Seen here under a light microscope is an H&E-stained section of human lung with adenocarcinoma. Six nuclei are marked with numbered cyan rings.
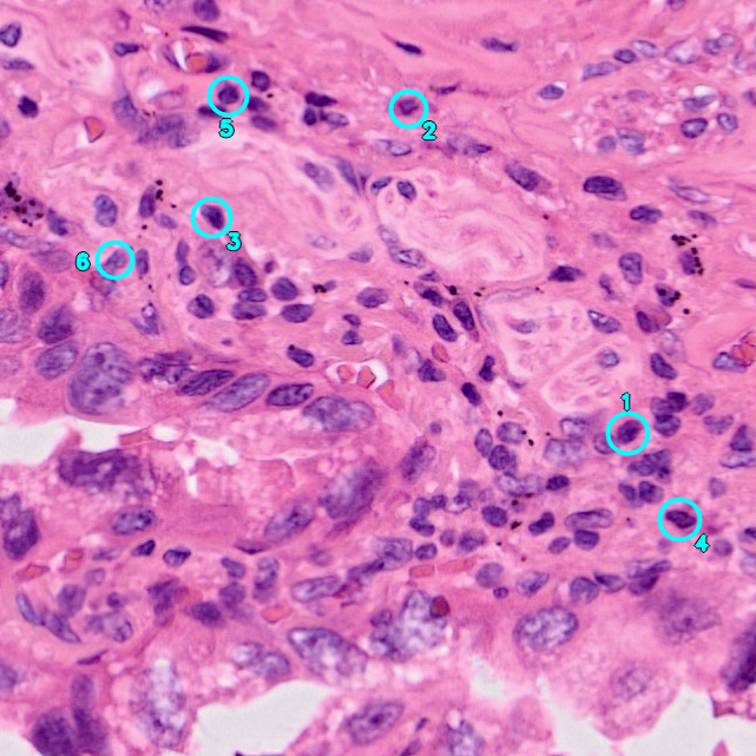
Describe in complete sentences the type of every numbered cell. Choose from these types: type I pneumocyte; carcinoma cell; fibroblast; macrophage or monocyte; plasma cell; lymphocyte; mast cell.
Cell 1 is a lymphocyte, cell 2 is a plasma cell, cell 3 is a lymphocyte, cell 4 is a plasma cell, cell 5 is a lymphocyte and cell 6 is a lymphocyte.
